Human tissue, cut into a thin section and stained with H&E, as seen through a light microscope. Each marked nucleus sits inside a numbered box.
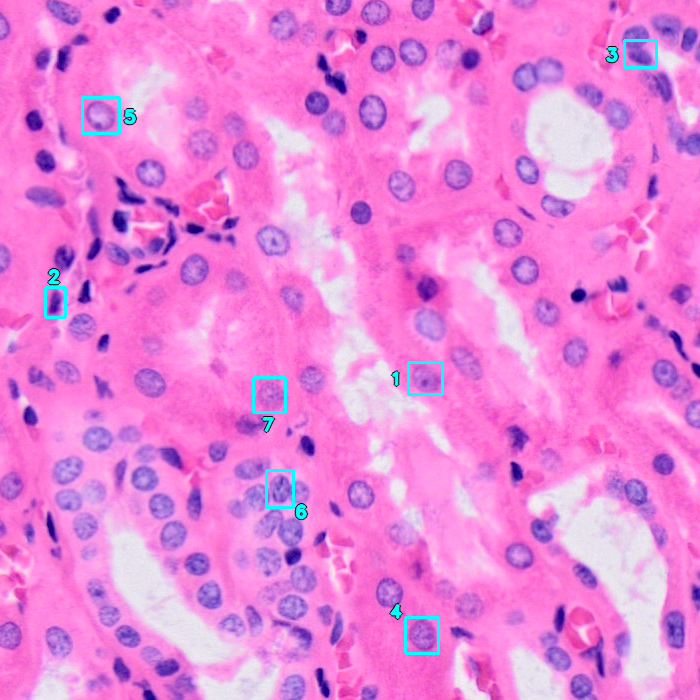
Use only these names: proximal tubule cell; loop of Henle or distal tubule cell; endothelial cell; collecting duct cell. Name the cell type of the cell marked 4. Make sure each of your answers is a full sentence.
In this section, number 4 marks a proximal tubule cell.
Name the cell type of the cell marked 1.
Here, the cell given the number 1 is a proximal tubule cell.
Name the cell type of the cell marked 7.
The cell that carries the label 7 is a proximal tubule cell.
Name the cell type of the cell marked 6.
The expected answer is that cell 6 is a collecting duct cell.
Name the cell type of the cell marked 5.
The cell that carries the label 5 is a proximal tubule cell.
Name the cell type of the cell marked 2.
Cell 2 should be recorded as a loop of Henle or distal tubule cell.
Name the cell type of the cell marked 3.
Cell 3, among those numbered, is a collecting duct cell.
